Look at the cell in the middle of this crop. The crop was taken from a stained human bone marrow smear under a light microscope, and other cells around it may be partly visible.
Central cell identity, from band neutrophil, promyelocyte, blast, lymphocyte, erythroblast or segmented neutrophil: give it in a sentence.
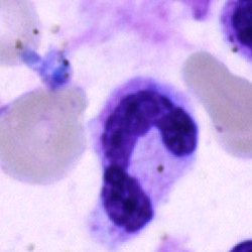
The cell that lies at the centre of the crop is a segmented neutrophil.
